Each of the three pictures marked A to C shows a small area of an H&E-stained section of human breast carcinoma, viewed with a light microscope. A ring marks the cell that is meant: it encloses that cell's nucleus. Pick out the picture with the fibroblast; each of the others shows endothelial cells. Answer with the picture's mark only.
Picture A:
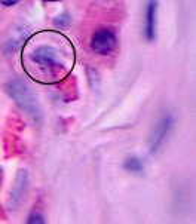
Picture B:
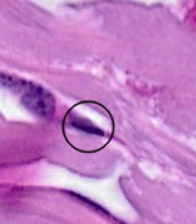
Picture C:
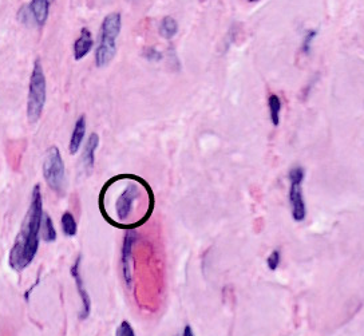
B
